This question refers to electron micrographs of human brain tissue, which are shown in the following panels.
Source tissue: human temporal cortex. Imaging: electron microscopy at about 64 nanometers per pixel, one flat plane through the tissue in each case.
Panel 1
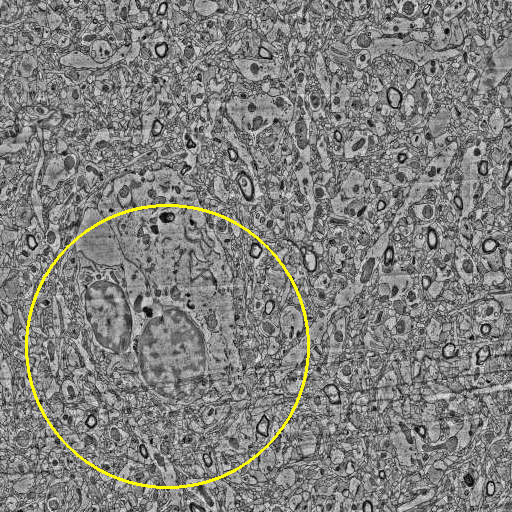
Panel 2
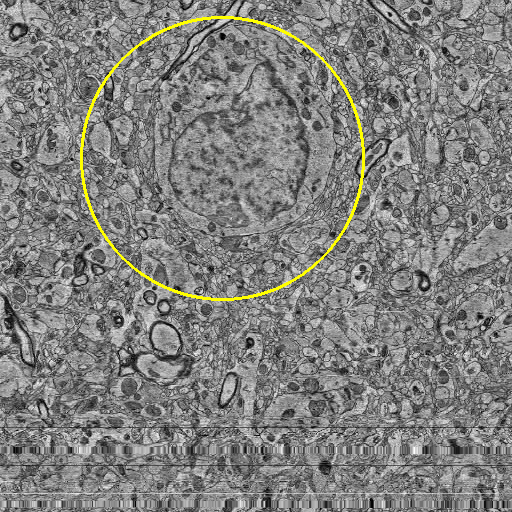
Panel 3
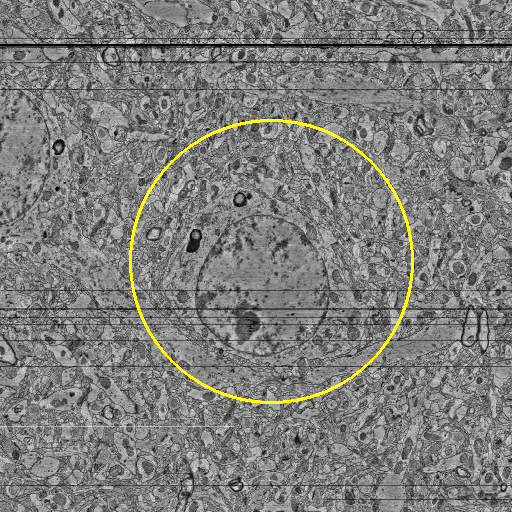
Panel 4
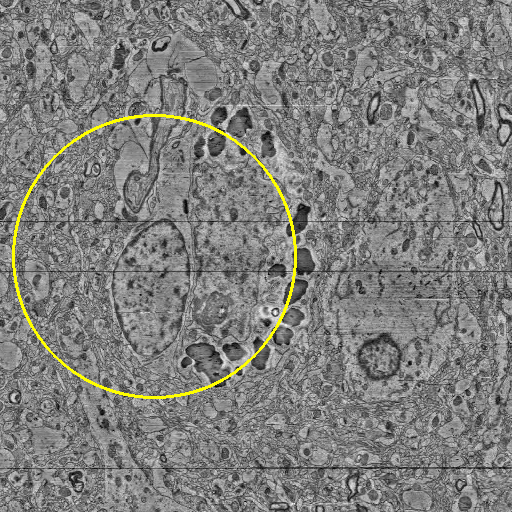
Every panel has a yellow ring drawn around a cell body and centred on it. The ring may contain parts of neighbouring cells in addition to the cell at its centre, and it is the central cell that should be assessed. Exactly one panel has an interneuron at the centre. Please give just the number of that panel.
2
